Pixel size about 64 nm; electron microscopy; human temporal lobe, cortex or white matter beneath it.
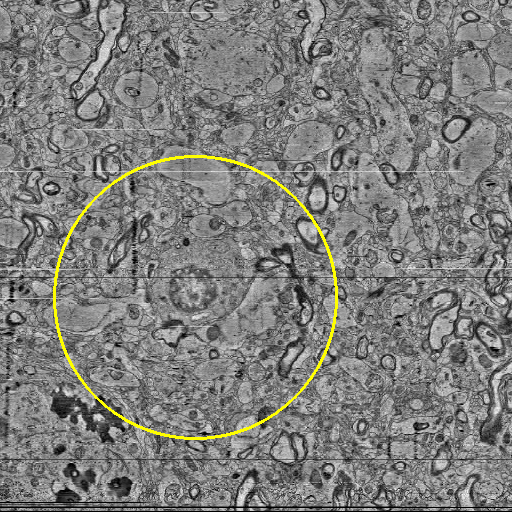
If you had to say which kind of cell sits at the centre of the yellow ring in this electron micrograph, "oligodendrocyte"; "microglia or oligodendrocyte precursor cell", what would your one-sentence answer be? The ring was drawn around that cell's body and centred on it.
The cell sitting at the centre of the ring is an oligodendrocyte.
